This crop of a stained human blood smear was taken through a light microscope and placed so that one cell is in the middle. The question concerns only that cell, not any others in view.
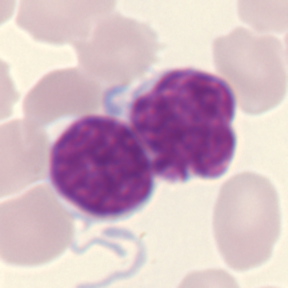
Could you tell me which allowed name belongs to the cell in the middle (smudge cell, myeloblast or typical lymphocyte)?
myeloblast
